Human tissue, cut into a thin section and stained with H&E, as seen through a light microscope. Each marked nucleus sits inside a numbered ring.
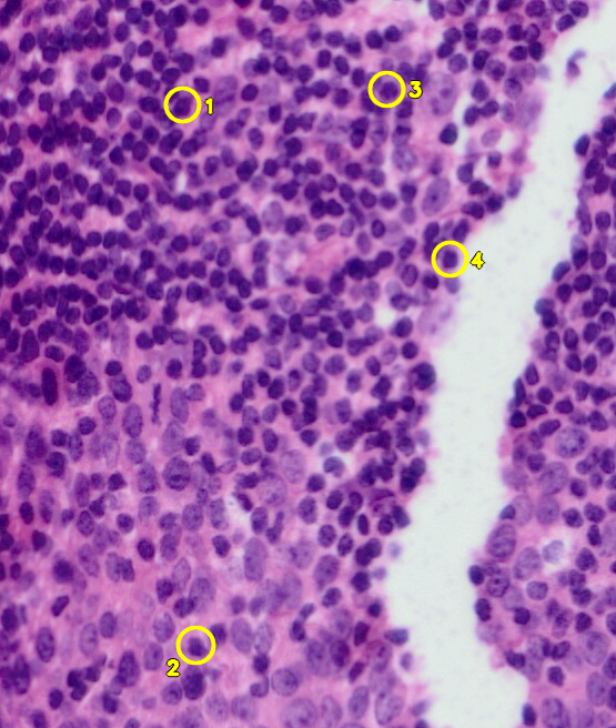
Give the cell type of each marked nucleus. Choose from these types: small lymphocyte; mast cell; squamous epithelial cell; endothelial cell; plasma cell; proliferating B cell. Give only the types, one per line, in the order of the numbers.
small lymphocyte
proliferating B cell
small lymphocyte
small lymphocyte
